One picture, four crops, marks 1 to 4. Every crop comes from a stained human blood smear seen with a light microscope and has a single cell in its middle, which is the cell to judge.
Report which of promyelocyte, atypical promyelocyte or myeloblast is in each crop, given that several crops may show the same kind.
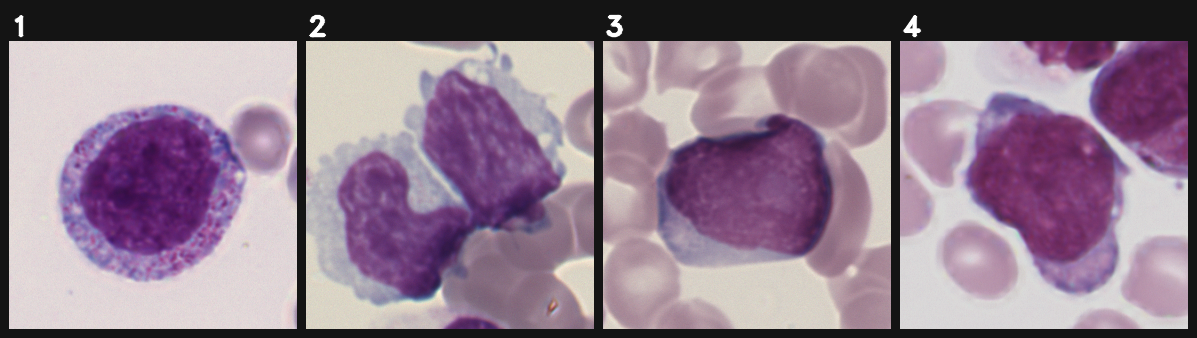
1: promyelocyte
2: myeloblast
3: myeloblast
4: atypical promyelocyte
